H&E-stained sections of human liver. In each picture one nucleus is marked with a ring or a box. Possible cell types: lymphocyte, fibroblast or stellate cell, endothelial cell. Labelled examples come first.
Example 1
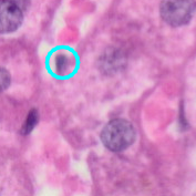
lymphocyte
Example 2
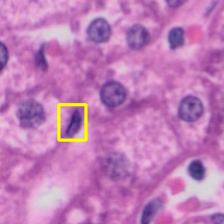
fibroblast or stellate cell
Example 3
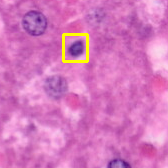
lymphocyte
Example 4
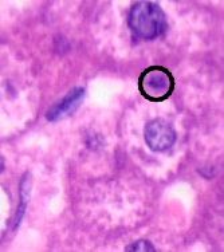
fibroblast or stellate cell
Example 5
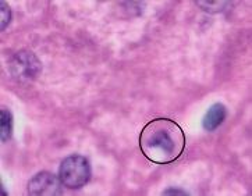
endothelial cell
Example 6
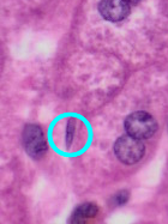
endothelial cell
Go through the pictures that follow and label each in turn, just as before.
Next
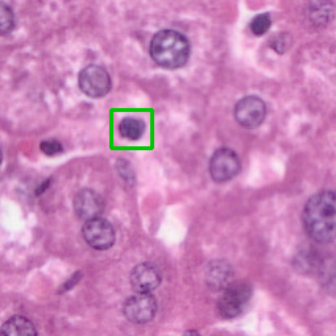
lymphocyte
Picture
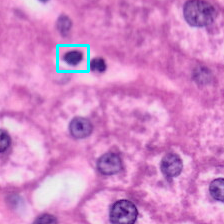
lymphocyte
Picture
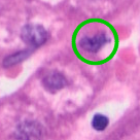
endothelial cell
